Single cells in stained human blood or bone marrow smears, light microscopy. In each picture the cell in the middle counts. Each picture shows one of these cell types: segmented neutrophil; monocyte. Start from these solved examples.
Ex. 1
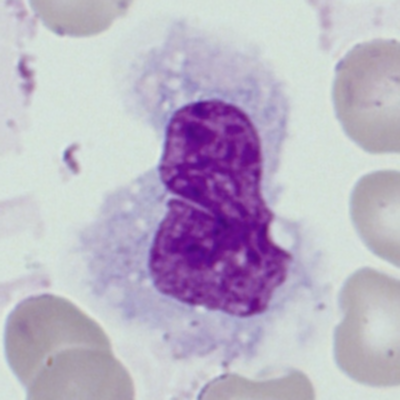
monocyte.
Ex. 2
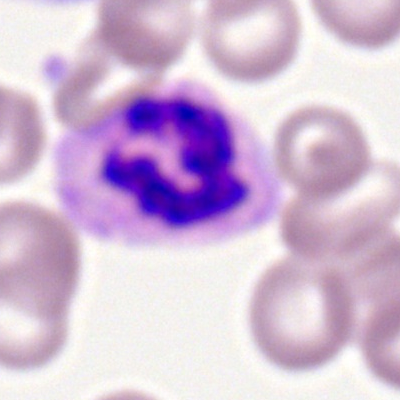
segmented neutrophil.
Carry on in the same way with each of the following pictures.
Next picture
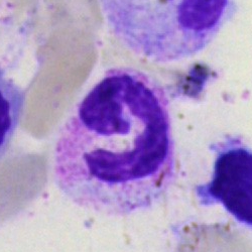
segmented neutrophil.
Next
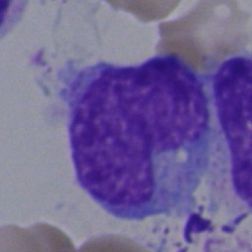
monocyte.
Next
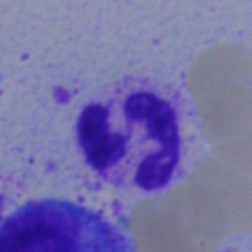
segmented neutrophil.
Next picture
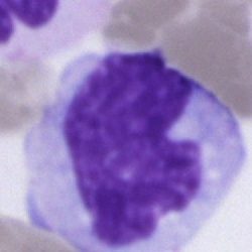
monocyte.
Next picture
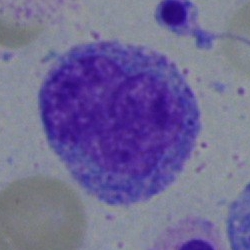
monocyte.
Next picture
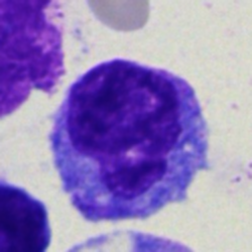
monocyte.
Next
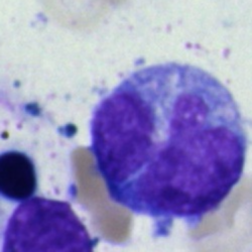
monocyte.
